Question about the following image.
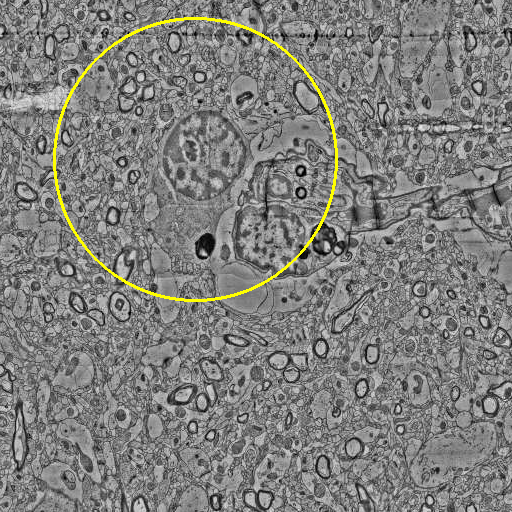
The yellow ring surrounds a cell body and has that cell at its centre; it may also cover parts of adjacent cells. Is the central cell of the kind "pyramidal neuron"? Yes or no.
No, it is of another kind.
